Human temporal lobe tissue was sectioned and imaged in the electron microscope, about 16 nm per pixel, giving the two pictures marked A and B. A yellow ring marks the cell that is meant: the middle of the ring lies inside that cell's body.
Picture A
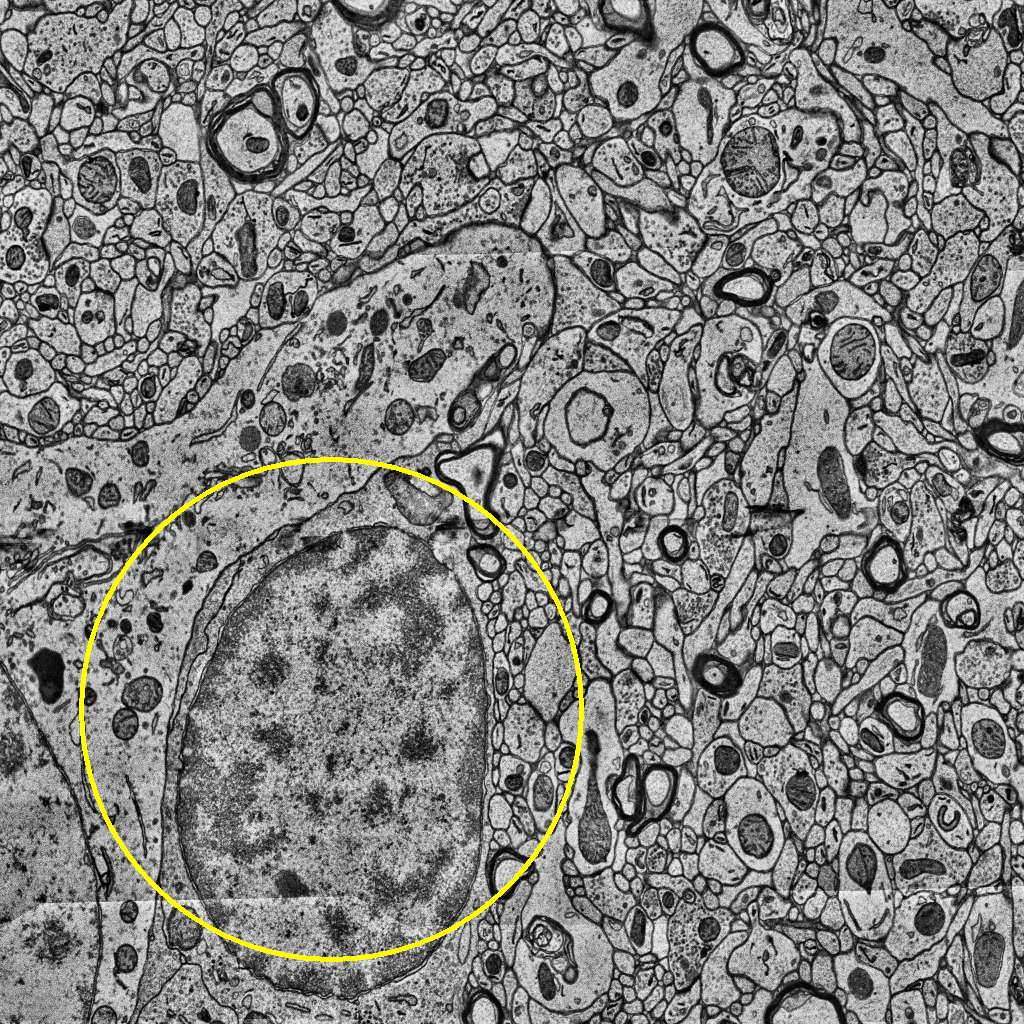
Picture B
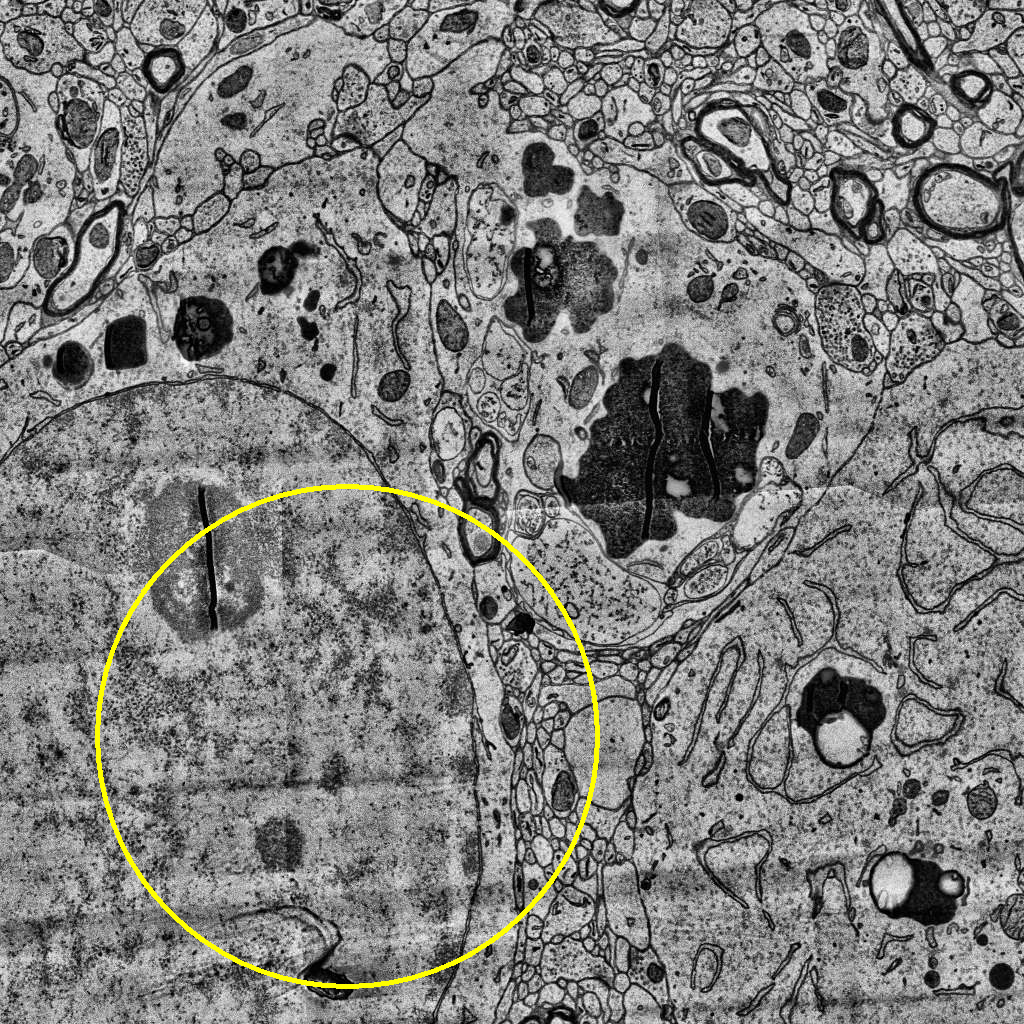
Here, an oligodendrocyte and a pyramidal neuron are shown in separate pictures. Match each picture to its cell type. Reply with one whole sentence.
The cell in picture A is an oligodendrocyte, and the one in picture B is a pyramidal neuron.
